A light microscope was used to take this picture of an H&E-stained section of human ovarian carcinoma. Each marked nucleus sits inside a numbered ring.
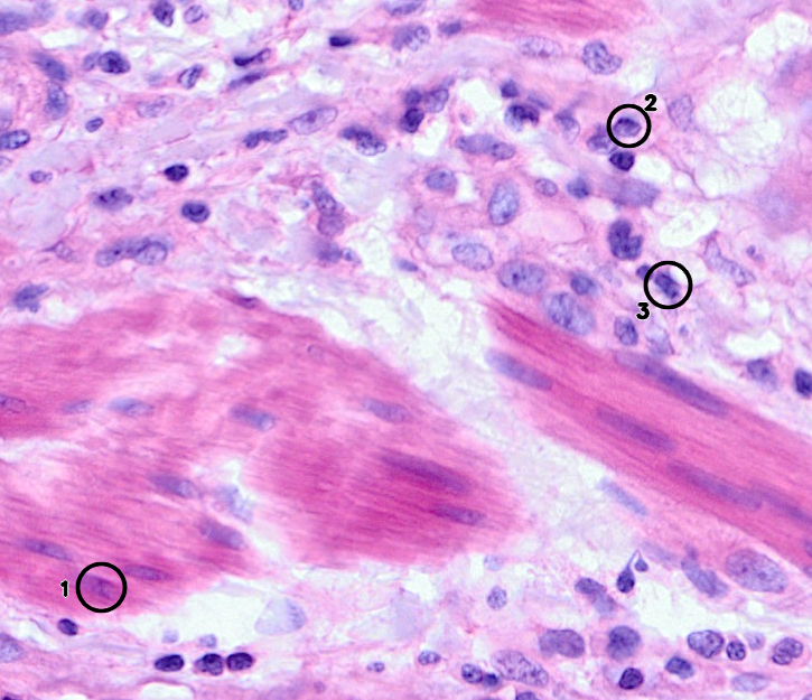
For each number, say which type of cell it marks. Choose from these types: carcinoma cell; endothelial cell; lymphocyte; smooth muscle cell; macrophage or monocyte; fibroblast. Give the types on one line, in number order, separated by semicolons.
smooth muscle cell; lymphocyte; lymphocyte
